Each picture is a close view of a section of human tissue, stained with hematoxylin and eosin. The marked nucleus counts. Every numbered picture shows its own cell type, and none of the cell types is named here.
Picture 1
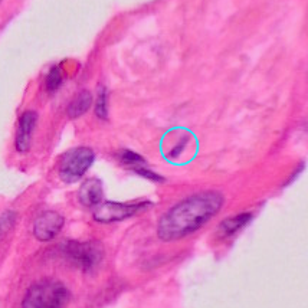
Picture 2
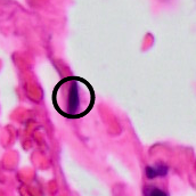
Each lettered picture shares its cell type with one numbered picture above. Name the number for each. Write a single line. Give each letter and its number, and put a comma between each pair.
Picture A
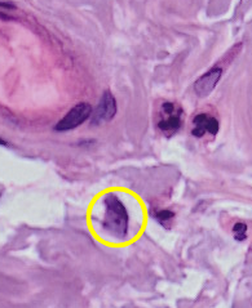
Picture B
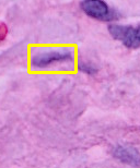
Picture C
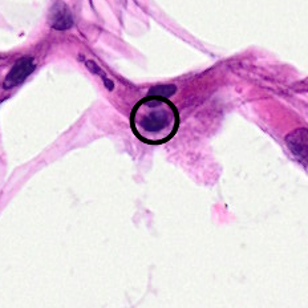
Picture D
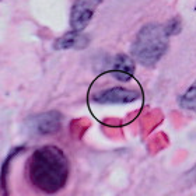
A 1, B 1, C 2, D 2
